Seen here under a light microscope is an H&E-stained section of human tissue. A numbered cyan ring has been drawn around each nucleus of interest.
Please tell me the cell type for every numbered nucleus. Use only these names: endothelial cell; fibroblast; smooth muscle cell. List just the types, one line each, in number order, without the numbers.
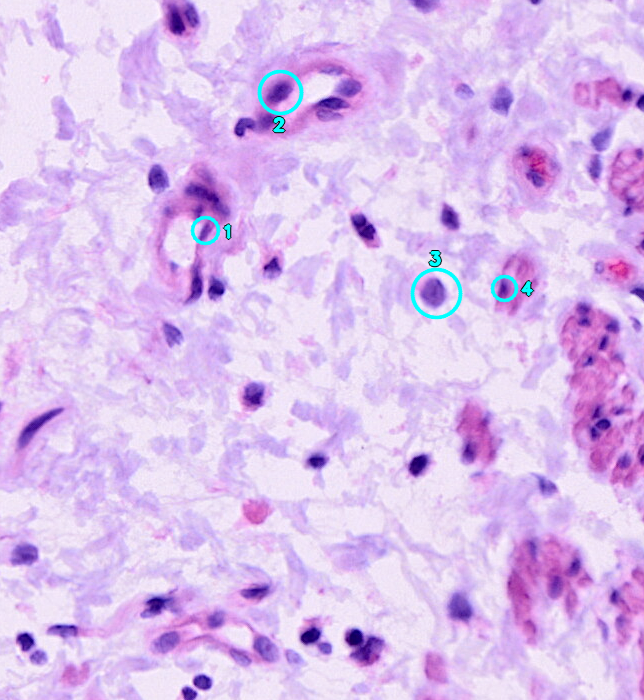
endothelial cell
endothelial cell
fibroblast
smooth muscle cell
